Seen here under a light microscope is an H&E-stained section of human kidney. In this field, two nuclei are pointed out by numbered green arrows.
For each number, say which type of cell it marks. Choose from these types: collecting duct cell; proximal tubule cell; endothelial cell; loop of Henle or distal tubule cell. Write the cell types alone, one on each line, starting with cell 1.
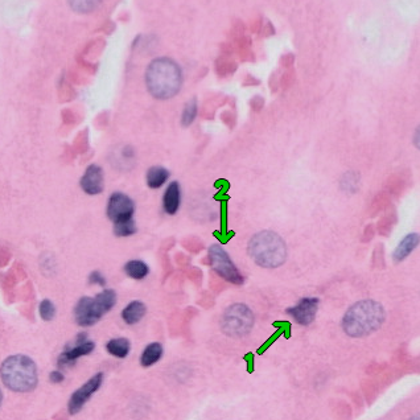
proximal tubule cell
endothelial cell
